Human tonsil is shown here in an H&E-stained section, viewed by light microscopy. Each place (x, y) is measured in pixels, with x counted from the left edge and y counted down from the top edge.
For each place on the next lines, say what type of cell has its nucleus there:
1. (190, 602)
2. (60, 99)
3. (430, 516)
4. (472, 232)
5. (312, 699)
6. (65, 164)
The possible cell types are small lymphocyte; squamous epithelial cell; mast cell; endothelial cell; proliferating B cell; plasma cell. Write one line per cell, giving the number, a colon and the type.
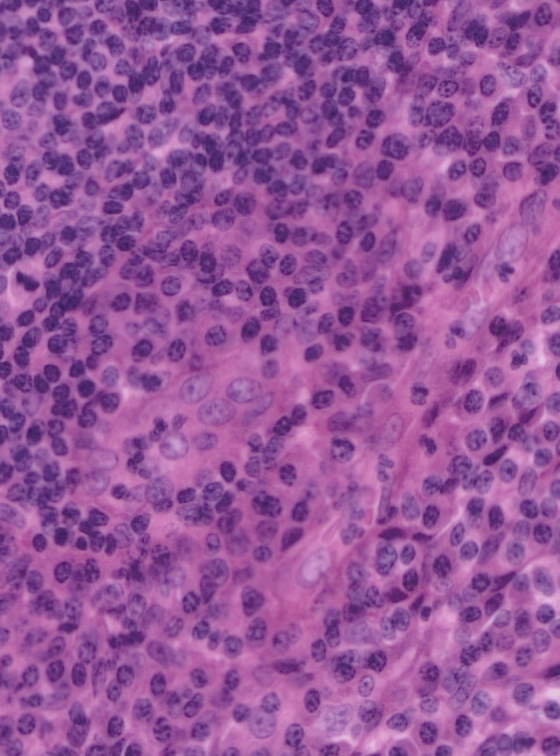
1: plasma cell
2: small lymphocyte
3: plasma cell
4: plasma cell
5: plasma cell
6: small lymphocyte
